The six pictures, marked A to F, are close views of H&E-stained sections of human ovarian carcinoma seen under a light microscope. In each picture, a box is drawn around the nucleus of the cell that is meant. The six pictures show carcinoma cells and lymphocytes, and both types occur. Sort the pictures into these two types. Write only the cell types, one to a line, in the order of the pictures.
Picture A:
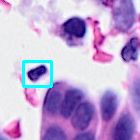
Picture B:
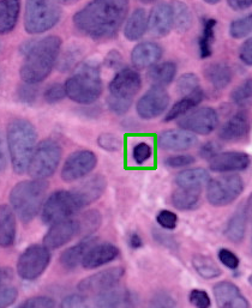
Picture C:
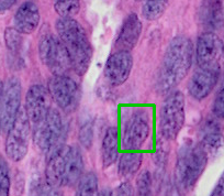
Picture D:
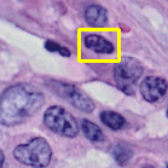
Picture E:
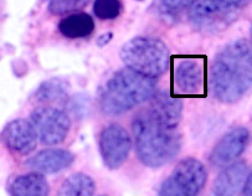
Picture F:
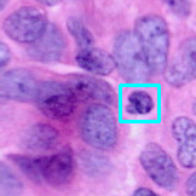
lymphocyte
lymphocyte
carcinoma cell
lymphocyte
carcinoma cell
lymphocyte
